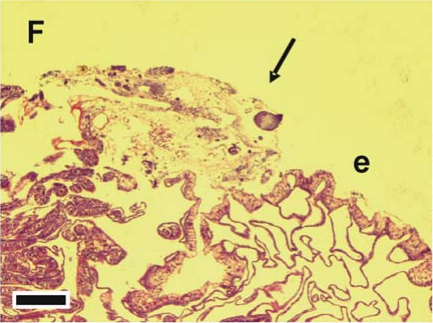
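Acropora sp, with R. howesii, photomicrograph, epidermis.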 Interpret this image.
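A section of coral tissue shows the surface tissue broken apart into a pale, loose, disorganized mass in which no orderly cell layer remains, with scattered dark-stained fragments detached within it. Below this, folded pink-to-purple tissue layers persist in a crowded, convoluted arrangement.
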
